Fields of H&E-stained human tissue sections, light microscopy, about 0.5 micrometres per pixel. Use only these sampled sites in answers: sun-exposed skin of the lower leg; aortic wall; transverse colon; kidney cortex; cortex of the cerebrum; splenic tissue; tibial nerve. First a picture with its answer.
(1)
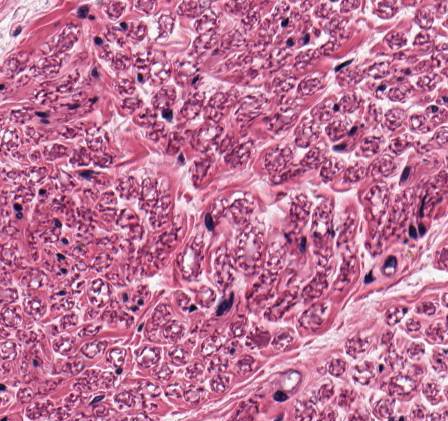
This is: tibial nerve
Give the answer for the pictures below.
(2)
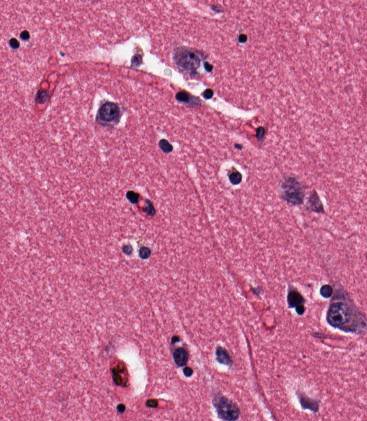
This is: cortex of the cerebrum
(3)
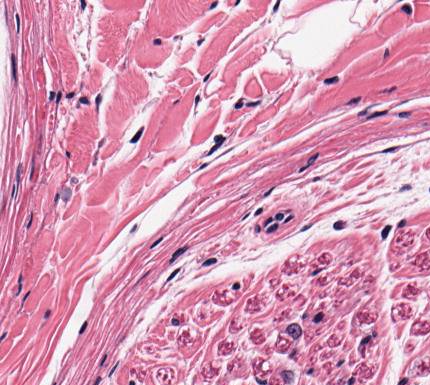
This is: tibial nerve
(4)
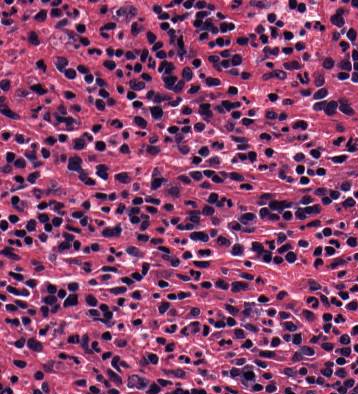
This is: splenic tissue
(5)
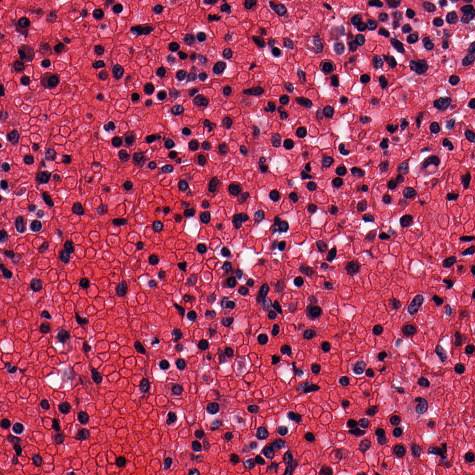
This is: splenic tissue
